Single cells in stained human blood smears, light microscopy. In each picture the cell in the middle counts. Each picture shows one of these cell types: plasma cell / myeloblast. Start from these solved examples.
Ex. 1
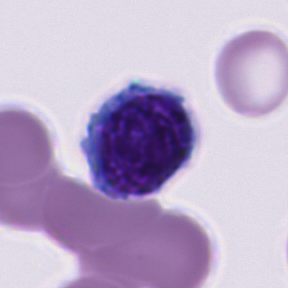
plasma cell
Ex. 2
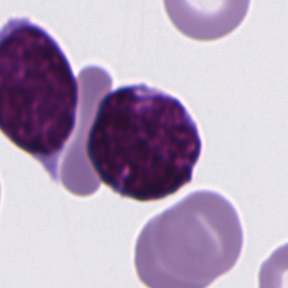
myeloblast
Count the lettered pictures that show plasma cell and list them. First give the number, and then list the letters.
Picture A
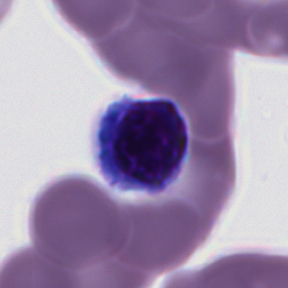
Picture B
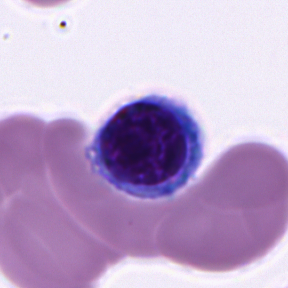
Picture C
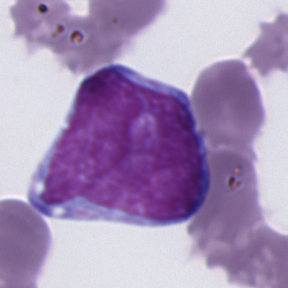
2: A, B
